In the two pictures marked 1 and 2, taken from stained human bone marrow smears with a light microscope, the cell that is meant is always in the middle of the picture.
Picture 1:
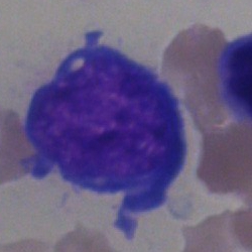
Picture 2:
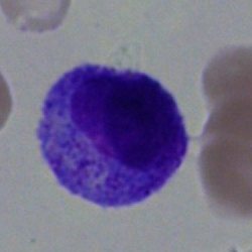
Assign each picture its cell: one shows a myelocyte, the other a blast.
1: blast
2: myelocyte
